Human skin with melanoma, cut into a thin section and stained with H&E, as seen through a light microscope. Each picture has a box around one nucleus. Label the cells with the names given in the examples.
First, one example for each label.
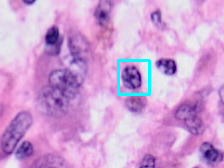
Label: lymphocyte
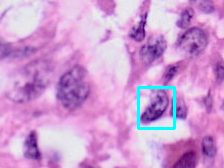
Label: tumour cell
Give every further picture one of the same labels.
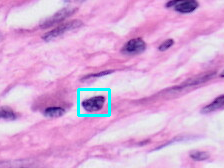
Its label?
lymphocyte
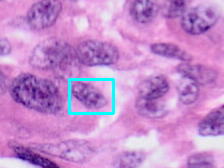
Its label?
tumour cell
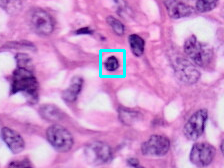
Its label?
lymphocyte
